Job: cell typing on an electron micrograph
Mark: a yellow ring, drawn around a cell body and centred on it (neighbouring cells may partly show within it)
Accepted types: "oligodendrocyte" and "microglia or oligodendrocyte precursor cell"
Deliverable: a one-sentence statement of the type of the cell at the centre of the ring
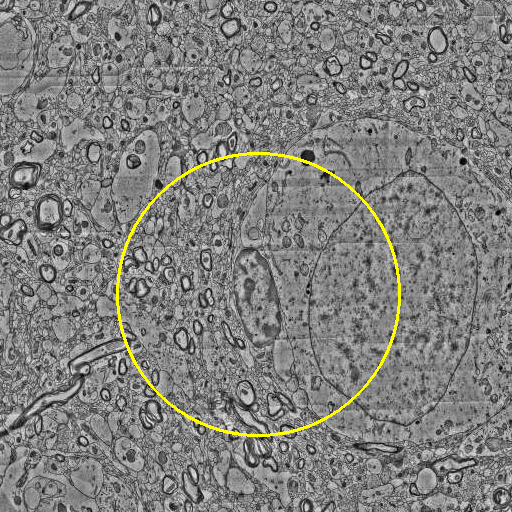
The centred cell body is that of a microglial cell or oligodendrocyte precursor cell.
